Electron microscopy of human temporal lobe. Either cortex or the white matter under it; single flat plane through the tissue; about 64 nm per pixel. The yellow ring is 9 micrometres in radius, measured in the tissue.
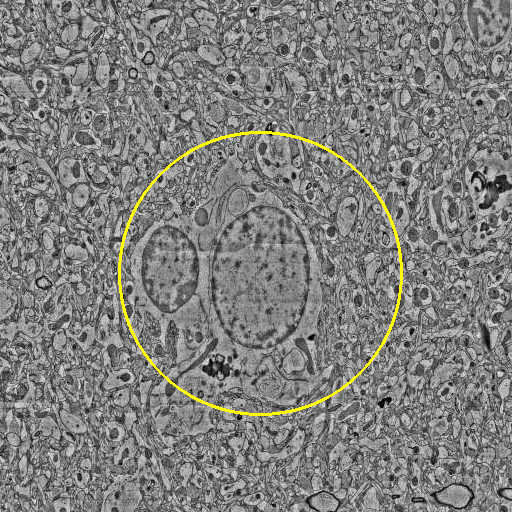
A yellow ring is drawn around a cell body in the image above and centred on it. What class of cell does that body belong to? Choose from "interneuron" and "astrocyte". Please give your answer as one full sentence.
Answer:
The yellow ring above is centred on the cell body of an astrocyte.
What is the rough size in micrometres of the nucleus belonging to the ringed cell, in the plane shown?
Roughly 9 by 6 micrometres is the size of the nucleus in this plane.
